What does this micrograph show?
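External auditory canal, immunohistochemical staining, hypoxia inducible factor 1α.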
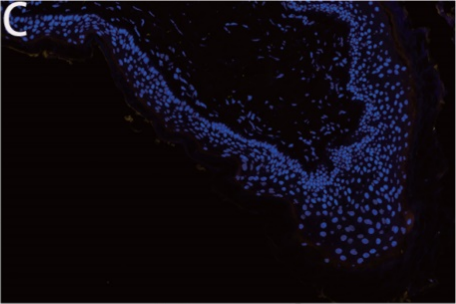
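This is skin, with a curved band of stratified epithelium whose blue nuclei are densely packed and round to oval. Beneath the band lies a looser connective tissue with fewer, more scattered and elongated nuclei. The epithelium thickens toward one end of the section, where nuclei pile up in many layers. Almost no orange is visible anywhere, only faint traces near the surface of the tissue.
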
